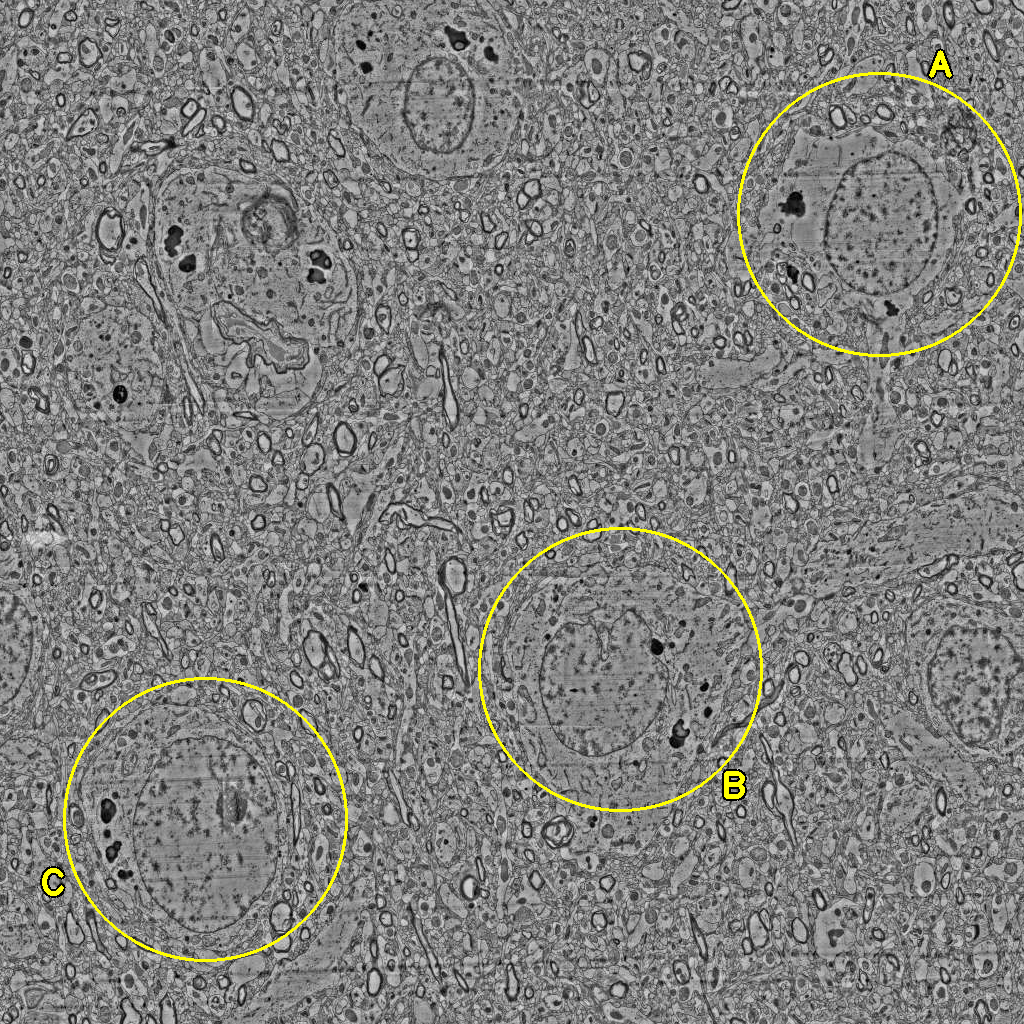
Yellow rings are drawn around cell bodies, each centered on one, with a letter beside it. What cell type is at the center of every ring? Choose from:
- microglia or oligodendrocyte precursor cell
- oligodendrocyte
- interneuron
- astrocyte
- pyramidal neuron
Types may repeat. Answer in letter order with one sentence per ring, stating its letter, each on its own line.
The cell at the center of ring A is an astrocyte.
The cell at the center of ring B is a pyramidal neuron.
The cell at the center of ring C is a pyramidal neuron.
